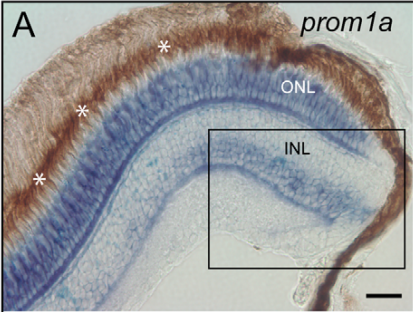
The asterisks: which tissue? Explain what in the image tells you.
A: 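The asterisks lie on a dark brown pigmented band along the outer edge of the retina. The brown band is outside the blue-stained layer of elongated cells. So: retinal pigmented (dark brown) epithelium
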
